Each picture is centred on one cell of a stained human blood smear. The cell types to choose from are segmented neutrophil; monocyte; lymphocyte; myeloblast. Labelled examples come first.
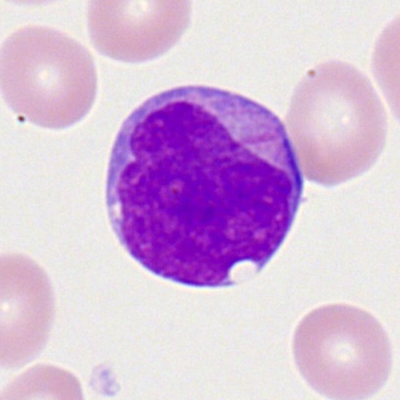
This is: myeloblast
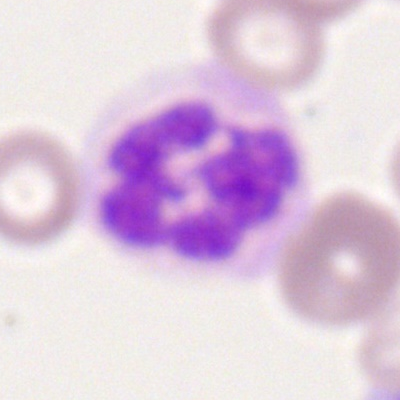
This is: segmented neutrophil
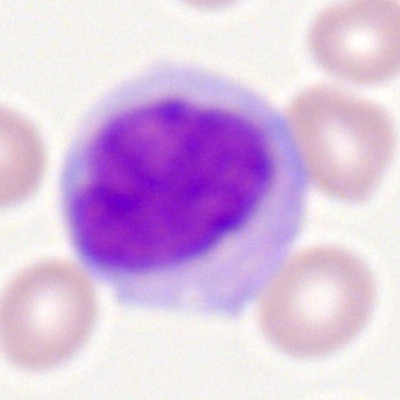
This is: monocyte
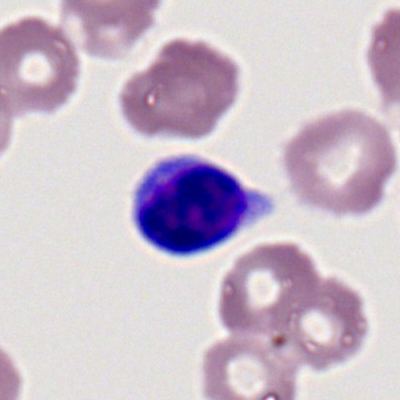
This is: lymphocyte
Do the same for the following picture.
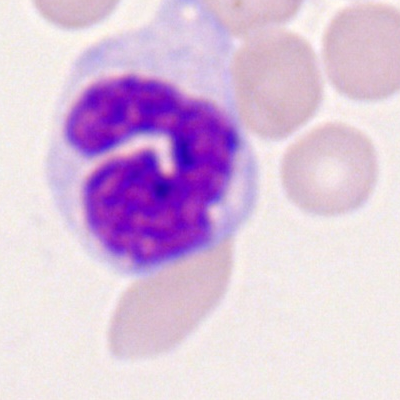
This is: monocyte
